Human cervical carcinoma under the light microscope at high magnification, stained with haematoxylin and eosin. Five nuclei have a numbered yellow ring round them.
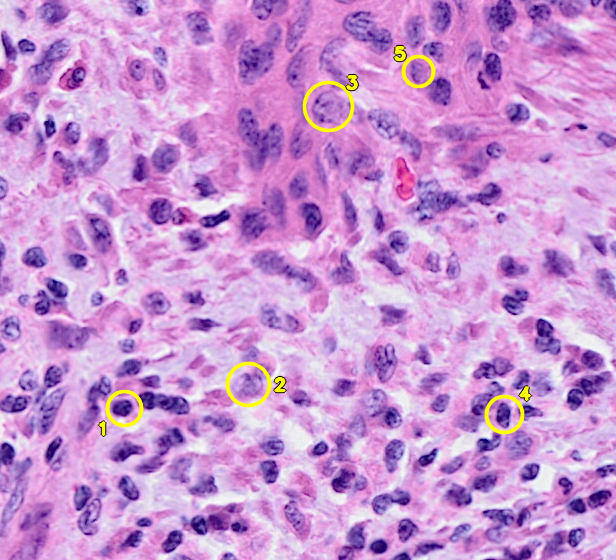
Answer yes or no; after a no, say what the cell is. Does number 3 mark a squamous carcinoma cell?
Yes.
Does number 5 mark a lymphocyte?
No, it is a squamous carcinoma cell.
